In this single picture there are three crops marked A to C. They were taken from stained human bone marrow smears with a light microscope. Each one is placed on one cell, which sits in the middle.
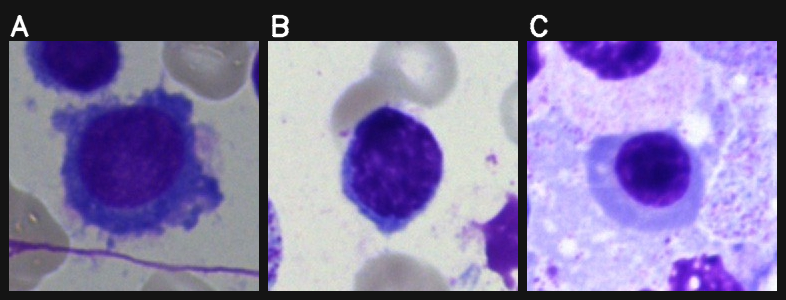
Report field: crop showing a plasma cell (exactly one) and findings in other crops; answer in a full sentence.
Crop A is identified as a plasma cell, whereas crop B is a lymphocyte and crop C is an erythroblast.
